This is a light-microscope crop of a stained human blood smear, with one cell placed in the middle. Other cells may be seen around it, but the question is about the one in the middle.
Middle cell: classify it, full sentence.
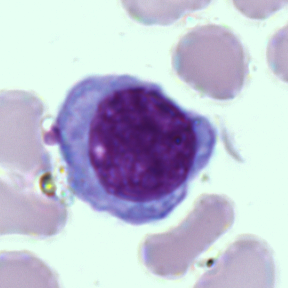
In short, the cell at the center is a plasma cell.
